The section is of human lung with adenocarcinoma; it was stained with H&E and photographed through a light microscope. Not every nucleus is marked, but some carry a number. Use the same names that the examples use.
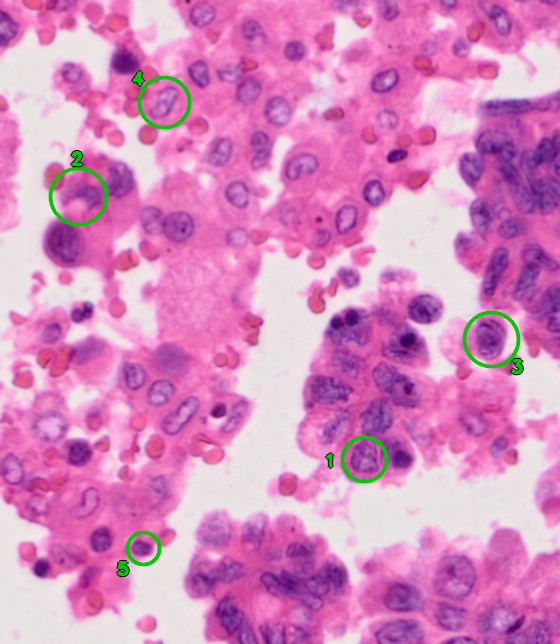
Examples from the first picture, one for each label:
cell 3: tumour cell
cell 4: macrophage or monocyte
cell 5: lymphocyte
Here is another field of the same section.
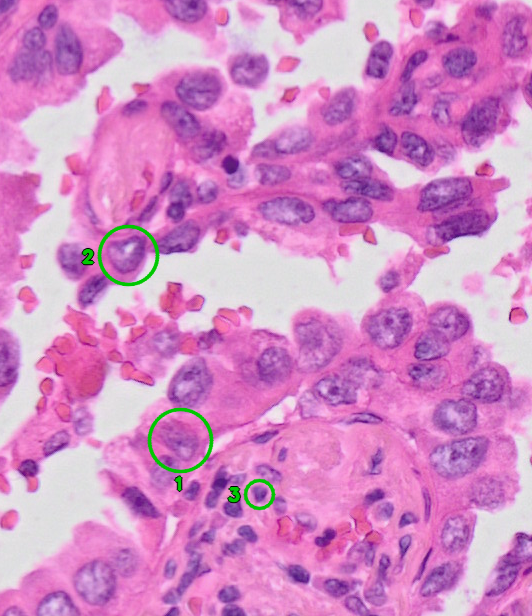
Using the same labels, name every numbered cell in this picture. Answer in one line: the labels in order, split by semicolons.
tumour cell; tumour cell; lymphocyte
